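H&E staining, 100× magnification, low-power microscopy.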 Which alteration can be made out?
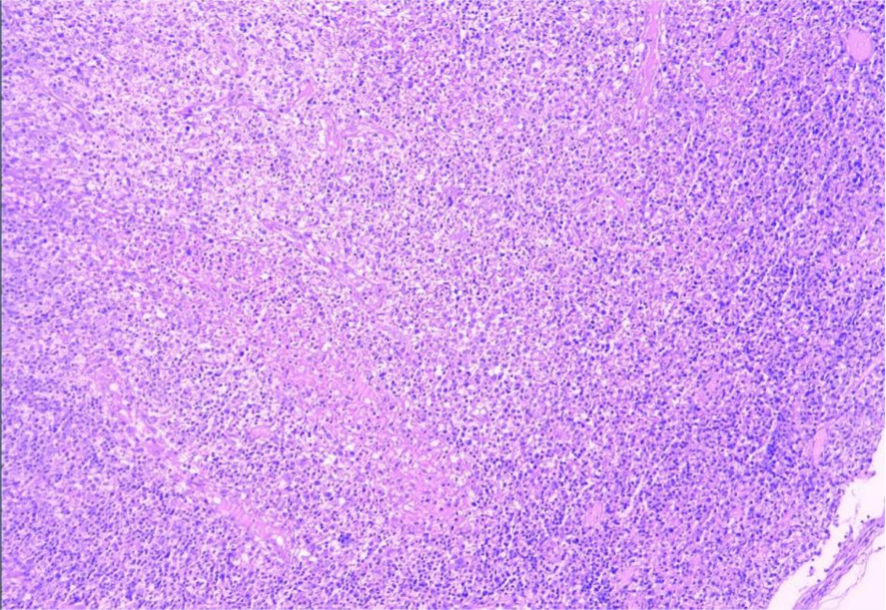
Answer: Effacement of the lymph node architecture.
